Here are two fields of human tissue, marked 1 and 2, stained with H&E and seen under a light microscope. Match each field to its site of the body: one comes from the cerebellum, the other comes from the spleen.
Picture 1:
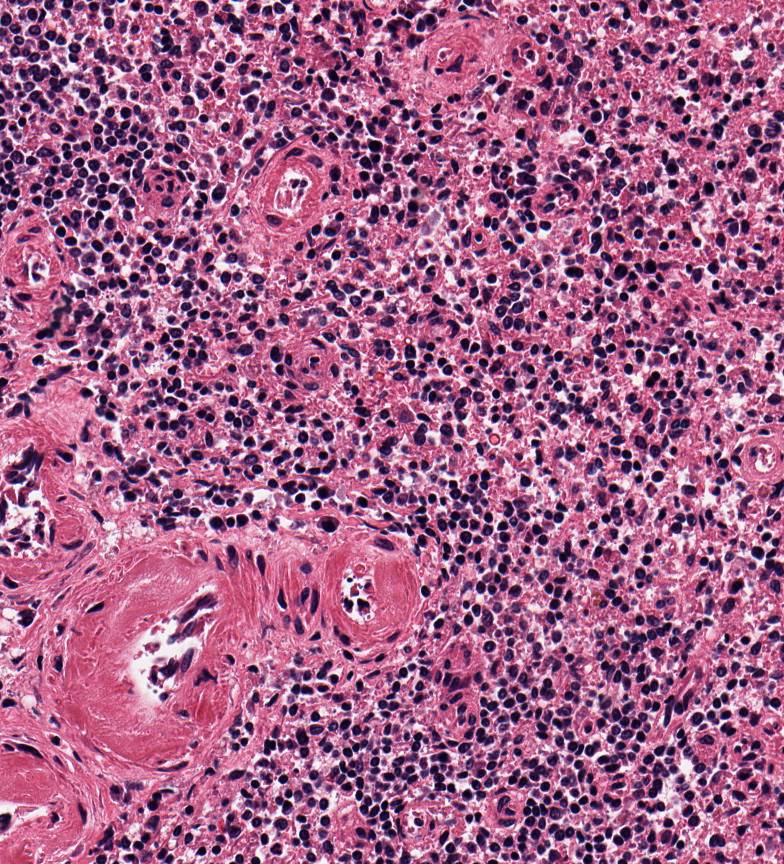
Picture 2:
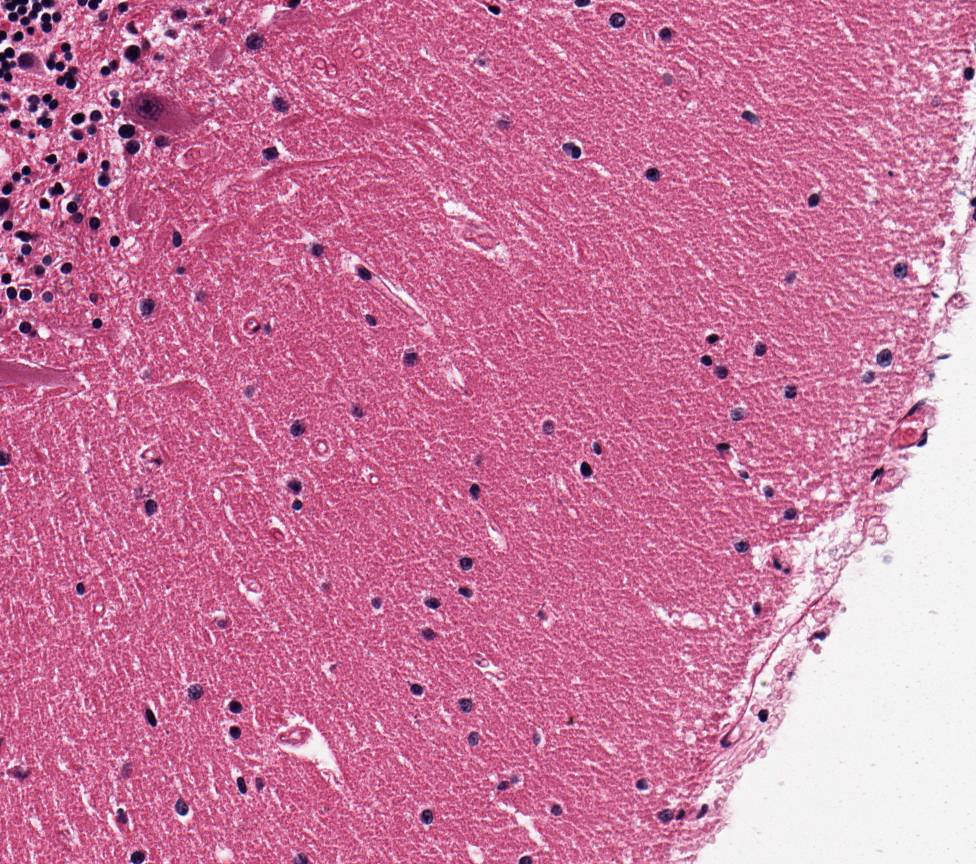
1: spleen
2: cerebellum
